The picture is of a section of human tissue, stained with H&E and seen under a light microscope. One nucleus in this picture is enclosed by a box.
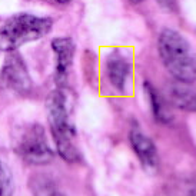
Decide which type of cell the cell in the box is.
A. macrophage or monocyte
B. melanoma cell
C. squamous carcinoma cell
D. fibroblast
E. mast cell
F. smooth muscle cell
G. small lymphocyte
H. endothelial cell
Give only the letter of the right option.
B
